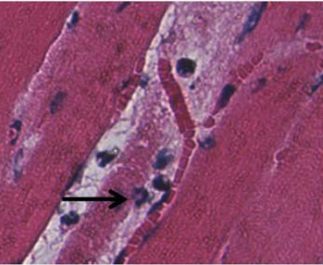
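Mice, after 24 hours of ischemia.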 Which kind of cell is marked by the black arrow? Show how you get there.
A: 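The arrow points to small cells with dark, lobed nuclei in the pale space between pink fibers. These cells lie in a loose, cleared interstitium beside a vessel with red blood cells.
Answer: inflammatory cell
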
